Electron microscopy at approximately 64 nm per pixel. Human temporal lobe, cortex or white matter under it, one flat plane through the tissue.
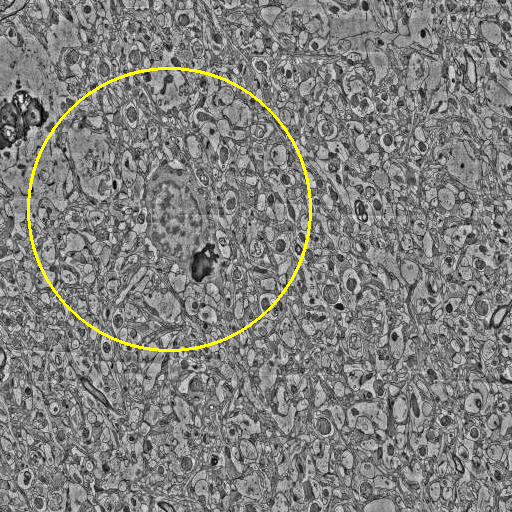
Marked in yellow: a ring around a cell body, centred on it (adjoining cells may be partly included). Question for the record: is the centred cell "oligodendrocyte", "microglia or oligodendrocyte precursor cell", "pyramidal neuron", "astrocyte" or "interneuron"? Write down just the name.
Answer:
oligodendrocyte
